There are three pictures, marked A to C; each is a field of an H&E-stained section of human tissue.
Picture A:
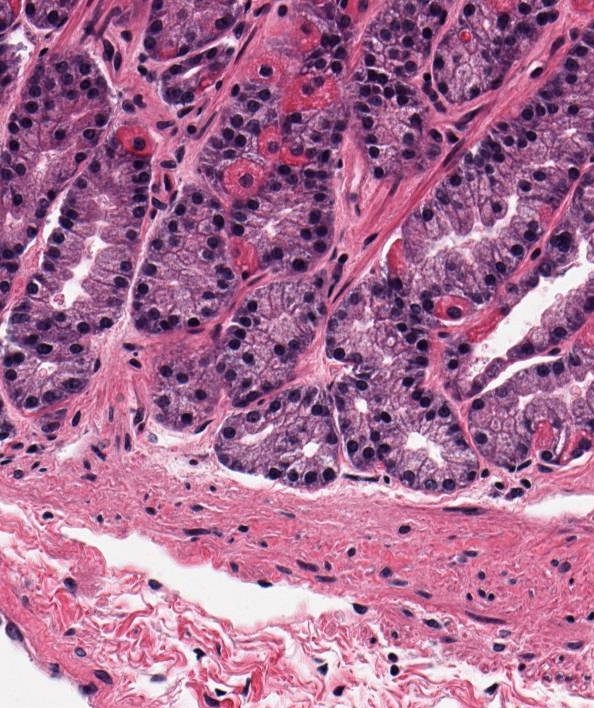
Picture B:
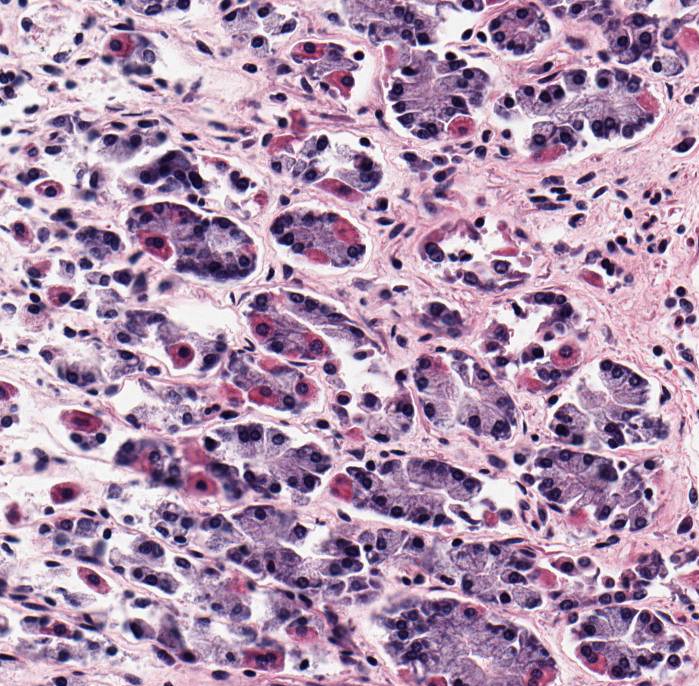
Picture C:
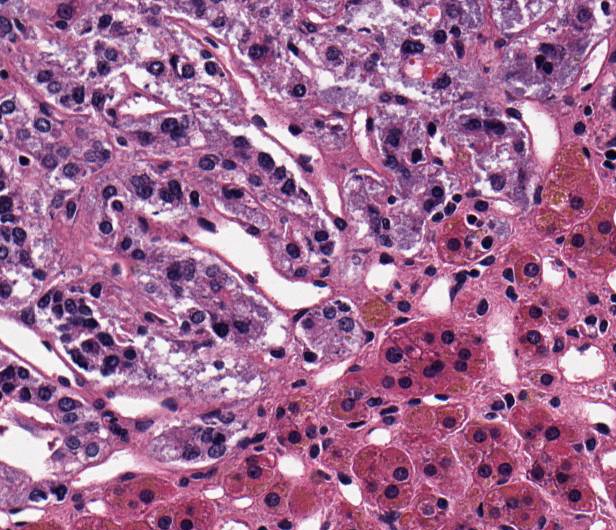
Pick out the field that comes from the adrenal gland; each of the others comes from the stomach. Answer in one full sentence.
The one that comes from the adrenal gland is picture C.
